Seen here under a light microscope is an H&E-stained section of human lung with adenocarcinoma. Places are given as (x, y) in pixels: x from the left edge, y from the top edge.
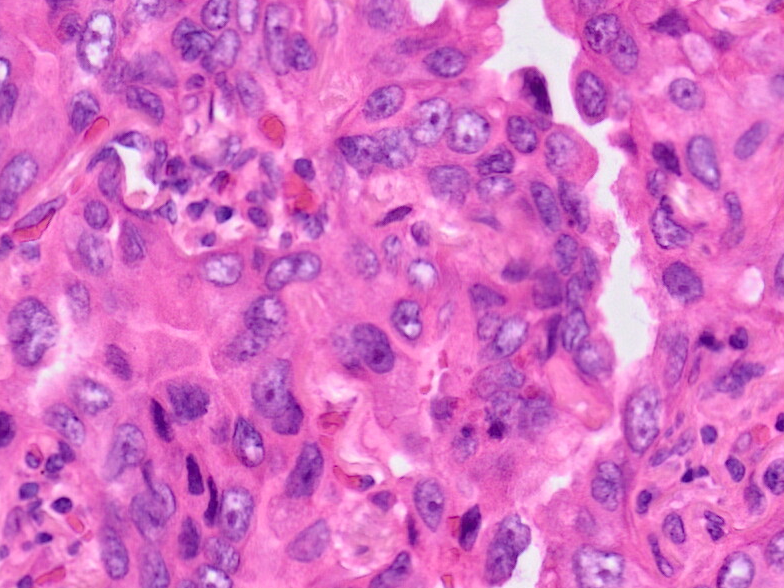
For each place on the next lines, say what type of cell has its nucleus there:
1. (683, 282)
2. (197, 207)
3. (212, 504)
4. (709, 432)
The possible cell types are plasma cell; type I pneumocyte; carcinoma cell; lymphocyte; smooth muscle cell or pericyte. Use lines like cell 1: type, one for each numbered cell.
cell 1: carcinoma cell
cell 2: lymphocyte
cell 3: carcinoma cell
cell 4: lymphocyte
